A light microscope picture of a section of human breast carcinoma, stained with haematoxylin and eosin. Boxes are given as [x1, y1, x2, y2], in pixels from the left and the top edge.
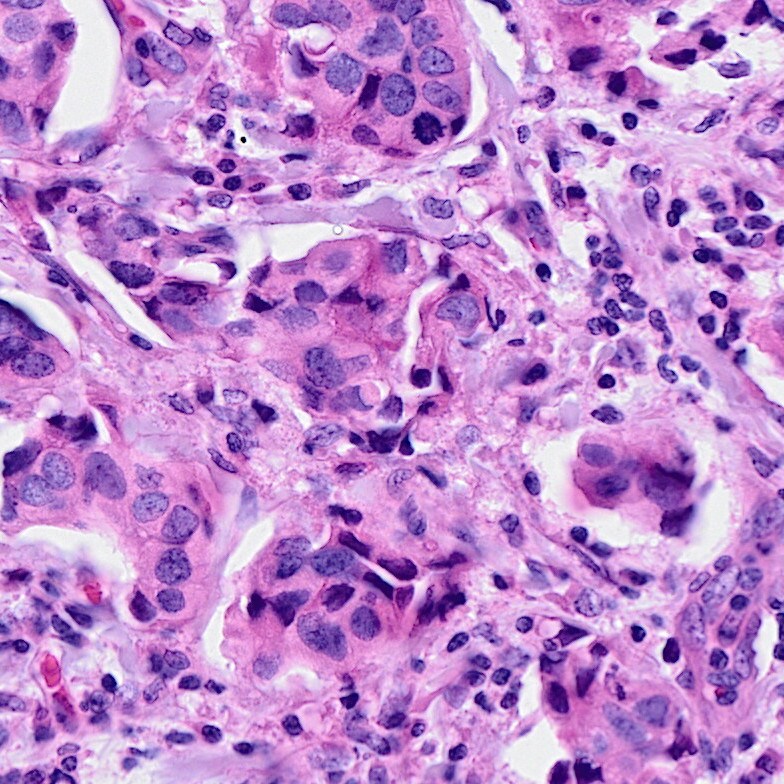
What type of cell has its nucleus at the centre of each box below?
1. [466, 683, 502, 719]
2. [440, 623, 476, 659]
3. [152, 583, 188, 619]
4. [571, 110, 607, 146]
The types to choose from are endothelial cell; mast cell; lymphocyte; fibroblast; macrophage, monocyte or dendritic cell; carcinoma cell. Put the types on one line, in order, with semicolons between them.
lymphocyte; lymphocyte; carcinoma cell; lymphocyte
